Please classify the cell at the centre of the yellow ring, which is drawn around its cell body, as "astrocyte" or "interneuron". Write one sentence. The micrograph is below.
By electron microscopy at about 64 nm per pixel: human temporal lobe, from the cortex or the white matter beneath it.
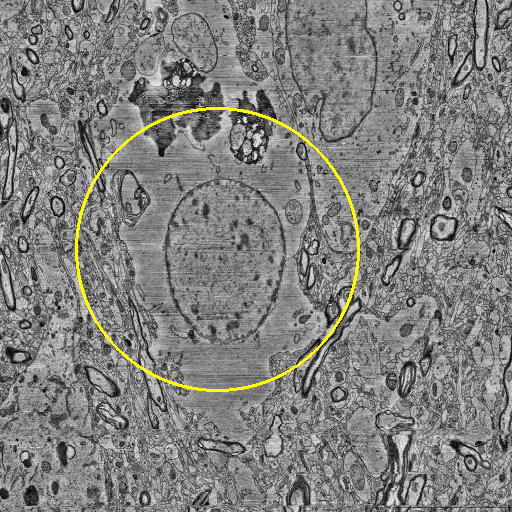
The cell at the ring's centre is classified as an astrocyte.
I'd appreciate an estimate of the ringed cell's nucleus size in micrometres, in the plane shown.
In this plane, approximately 11 by 8 micrometers.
